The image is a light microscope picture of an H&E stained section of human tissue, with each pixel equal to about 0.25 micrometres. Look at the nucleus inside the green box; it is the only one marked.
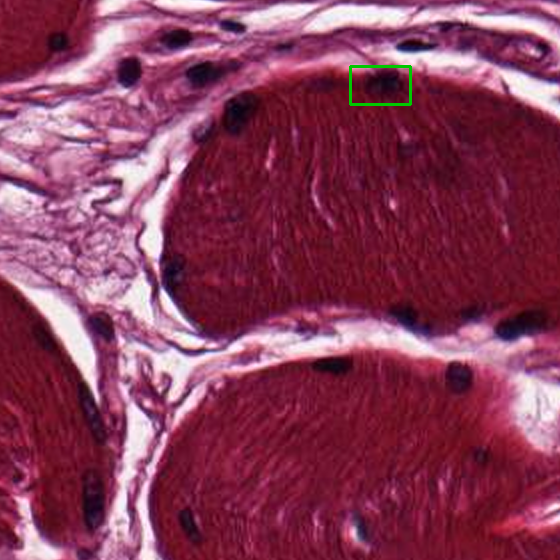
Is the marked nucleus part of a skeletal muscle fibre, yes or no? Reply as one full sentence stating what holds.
Yes, the nucleus that carries the mark belongs to a skeletal muscle fibre.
